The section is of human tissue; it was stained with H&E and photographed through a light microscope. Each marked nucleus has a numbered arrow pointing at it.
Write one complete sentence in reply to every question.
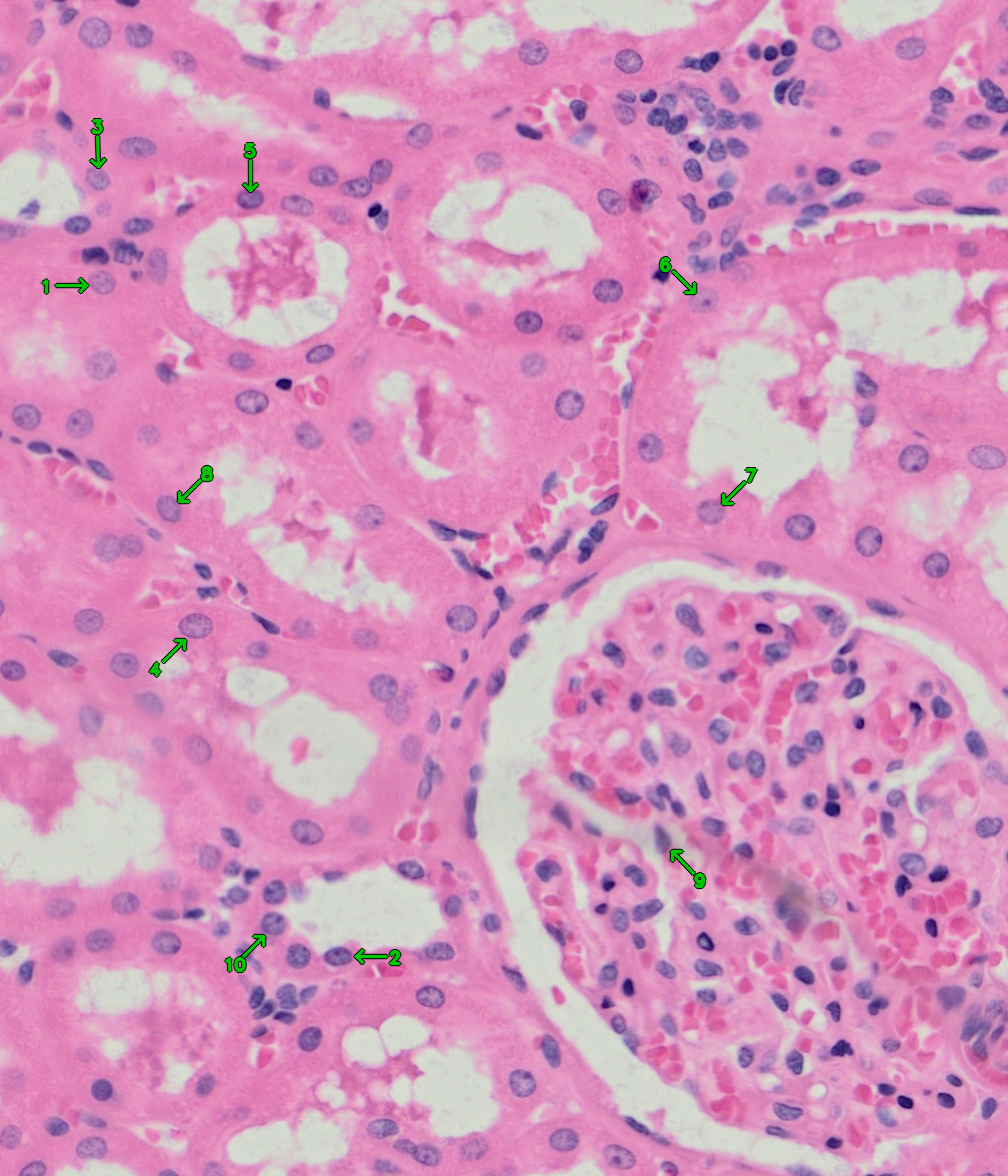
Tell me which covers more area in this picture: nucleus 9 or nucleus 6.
Of the two, number 6 is bigger and takes up about 1.5 times the area of number 9.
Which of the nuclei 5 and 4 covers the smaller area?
Number 5 is smaller, since number 4 takes up about 1.5 times as much area.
